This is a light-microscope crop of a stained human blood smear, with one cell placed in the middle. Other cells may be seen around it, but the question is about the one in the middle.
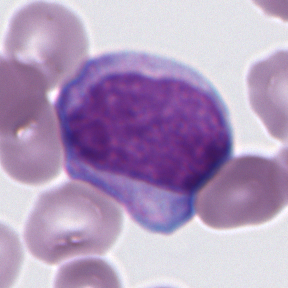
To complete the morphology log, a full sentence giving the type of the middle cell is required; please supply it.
The cell nearest the centre of this crop is an atypical promyelocyte.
